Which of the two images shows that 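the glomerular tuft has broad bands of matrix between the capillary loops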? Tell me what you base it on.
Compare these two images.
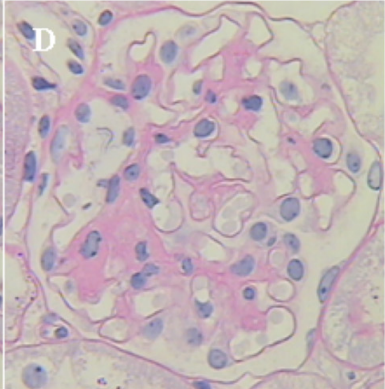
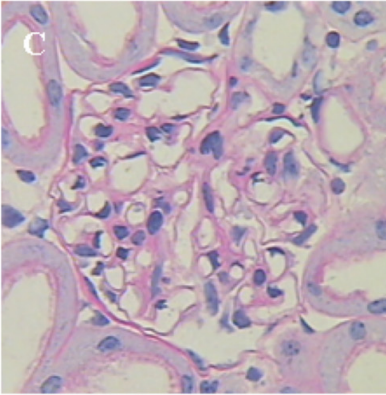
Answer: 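First image: wide branching magenta bands run through the centre of the tuft. Second image: the tuft shows thin loops with only slender magenta strands between them. On this evidence: the first image.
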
